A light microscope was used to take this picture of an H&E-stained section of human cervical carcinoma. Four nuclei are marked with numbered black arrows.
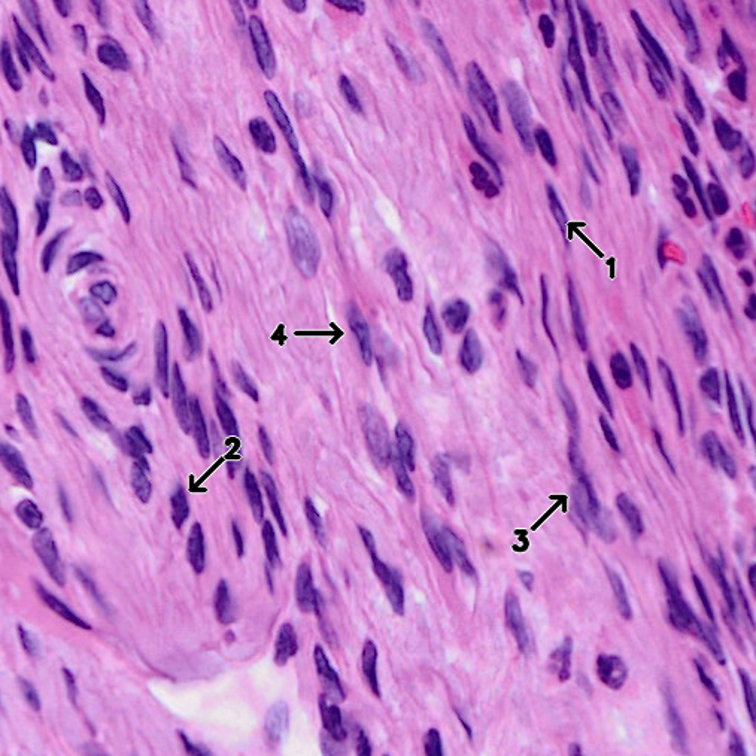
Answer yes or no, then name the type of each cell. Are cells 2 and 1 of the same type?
Yes, both are fibroblasts.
